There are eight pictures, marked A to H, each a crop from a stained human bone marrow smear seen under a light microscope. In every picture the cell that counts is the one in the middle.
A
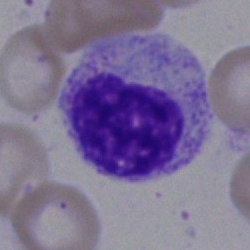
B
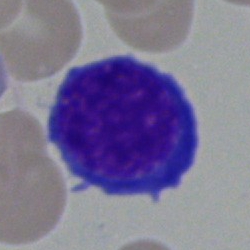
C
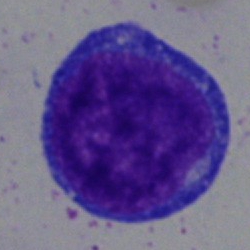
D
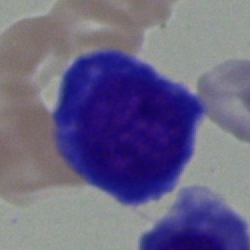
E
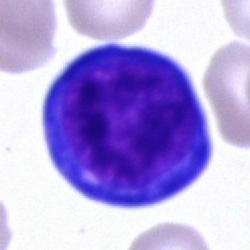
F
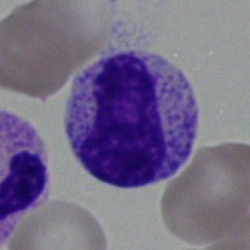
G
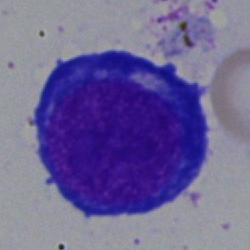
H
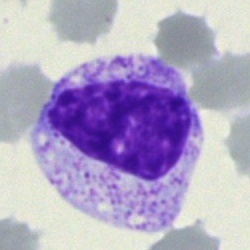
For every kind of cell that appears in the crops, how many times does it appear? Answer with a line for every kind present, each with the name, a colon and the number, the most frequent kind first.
proerythroblast: 5
metamyelocyte: 3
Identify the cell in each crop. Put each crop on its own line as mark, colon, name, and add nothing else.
A: metamyelocyte
B: proerythroblast
C: proerythroblast
D: proerythroblast
E: proerythroblast
F: metamyelocyte
G: proerythroblast
H: metamyelocyte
